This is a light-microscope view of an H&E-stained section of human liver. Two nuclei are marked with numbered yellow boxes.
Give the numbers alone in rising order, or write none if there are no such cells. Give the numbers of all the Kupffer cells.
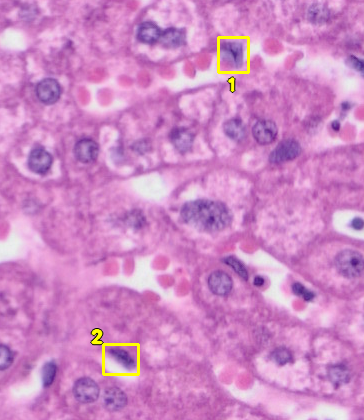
2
